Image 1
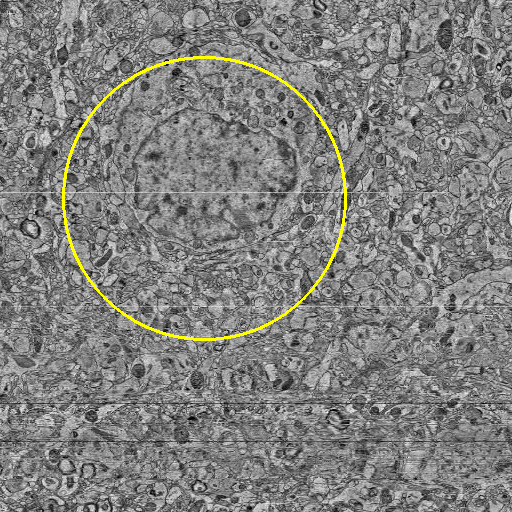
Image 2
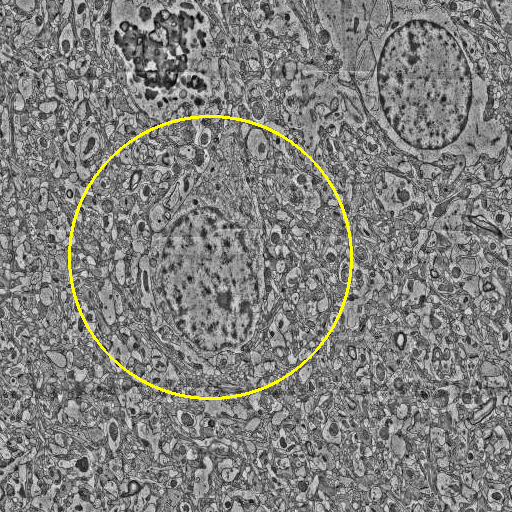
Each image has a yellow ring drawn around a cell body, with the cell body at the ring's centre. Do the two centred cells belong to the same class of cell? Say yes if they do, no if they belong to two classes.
yes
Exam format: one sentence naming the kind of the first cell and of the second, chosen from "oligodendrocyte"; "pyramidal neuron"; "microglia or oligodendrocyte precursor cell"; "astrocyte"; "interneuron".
Each of the two rings surrounds an interneuron.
